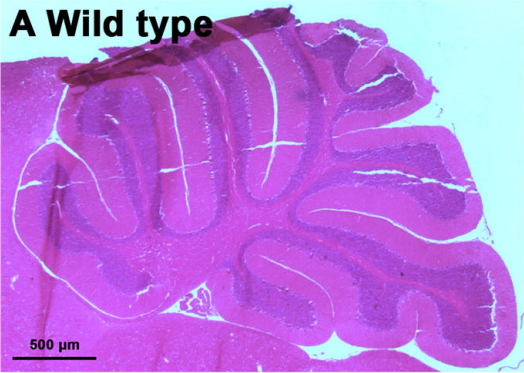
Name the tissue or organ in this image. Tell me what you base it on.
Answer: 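Tissue is folded into many narrow leaf-like folds. Each fold has a dark purple inner band beneath a paler pink outer layer. Central pale pink tracts run into the folds. So: cerebellar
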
